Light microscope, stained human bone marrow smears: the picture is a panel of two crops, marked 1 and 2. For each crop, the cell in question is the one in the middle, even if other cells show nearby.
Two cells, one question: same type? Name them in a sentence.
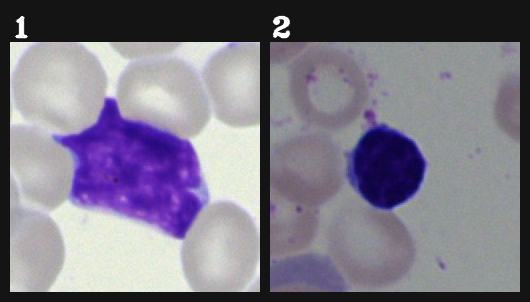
No, crop 1 features a blast, and crop 2 features a lymphocyte.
